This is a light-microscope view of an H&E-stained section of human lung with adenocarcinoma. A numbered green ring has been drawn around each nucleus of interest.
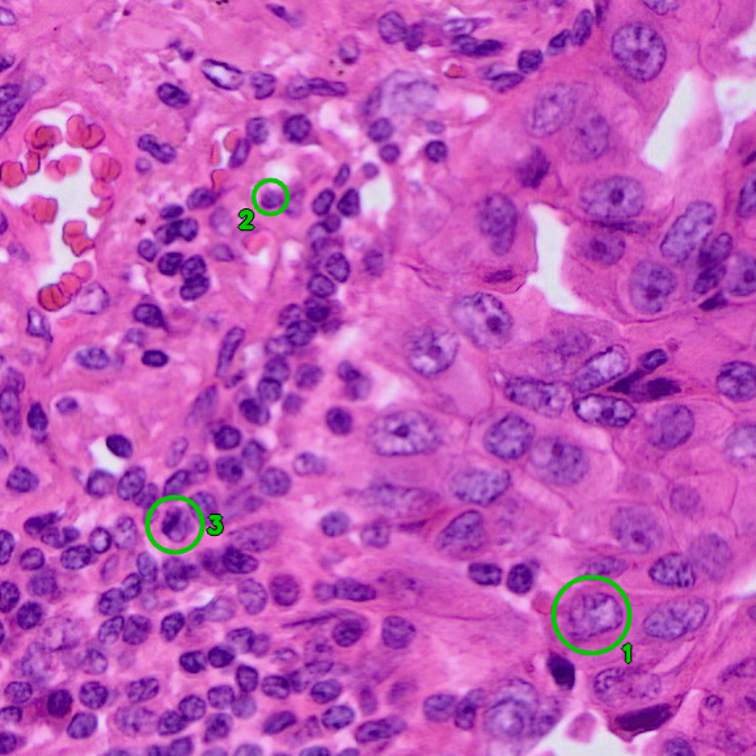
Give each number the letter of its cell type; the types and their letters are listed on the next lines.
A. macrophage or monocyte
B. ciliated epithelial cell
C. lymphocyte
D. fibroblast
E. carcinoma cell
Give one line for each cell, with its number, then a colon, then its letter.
1: E
2: C
3: C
